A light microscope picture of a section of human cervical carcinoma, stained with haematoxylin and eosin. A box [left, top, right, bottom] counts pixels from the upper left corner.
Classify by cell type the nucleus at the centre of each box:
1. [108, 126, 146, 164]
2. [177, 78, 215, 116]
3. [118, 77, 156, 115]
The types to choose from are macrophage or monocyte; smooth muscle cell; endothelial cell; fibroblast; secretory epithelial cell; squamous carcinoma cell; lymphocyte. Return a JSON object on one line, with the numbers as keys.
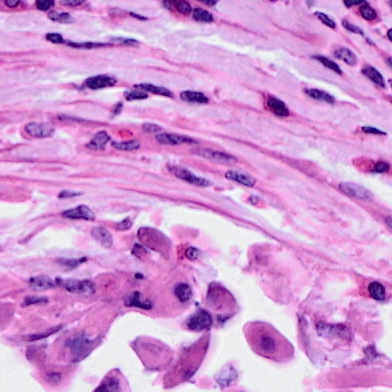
{"1": "endothelial cell", "2": "lymphocyte", "3": "lymphocyte"}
